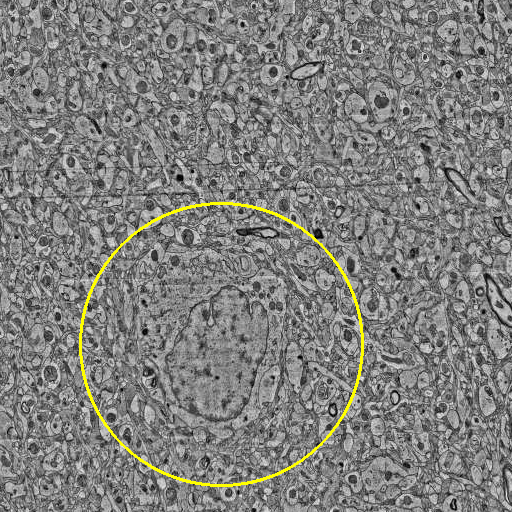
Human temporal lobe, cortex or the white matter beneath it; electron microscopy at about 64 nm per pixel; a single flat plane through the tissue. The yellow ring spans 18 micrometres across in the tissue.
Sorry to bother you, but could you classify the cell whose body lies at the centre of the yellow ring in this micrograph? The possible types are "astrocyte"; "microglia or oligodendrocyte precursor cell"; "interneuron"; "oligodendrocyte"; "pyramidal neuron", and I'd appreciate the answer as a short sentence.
The ringed cell body is that of an interneuron.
